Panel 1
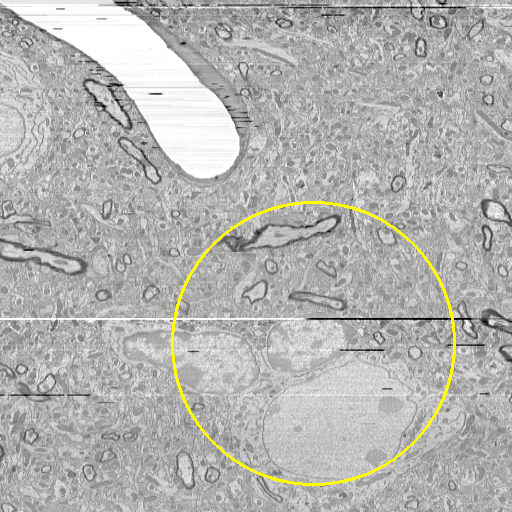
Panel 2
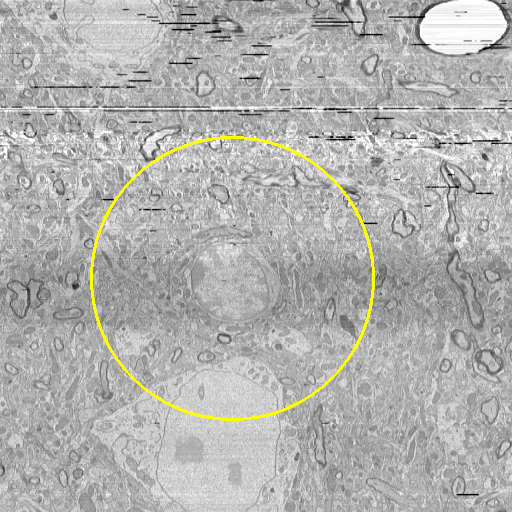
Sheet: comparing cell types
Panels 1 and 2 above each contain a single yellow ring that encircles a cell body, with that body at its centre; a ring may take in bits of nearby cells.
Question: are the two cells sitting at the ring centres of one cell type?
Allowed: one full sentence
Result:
Yes, the ring-centre cells in Panel 1 and Panel 2 are of one type.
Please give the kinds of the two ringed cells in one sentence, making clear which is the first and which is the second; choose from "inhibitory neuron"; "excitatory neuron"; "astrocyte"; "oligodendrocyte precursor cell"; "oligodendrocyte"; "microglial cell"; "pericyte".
Both the first and the second picture show an oligodendrocyte in the ring.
